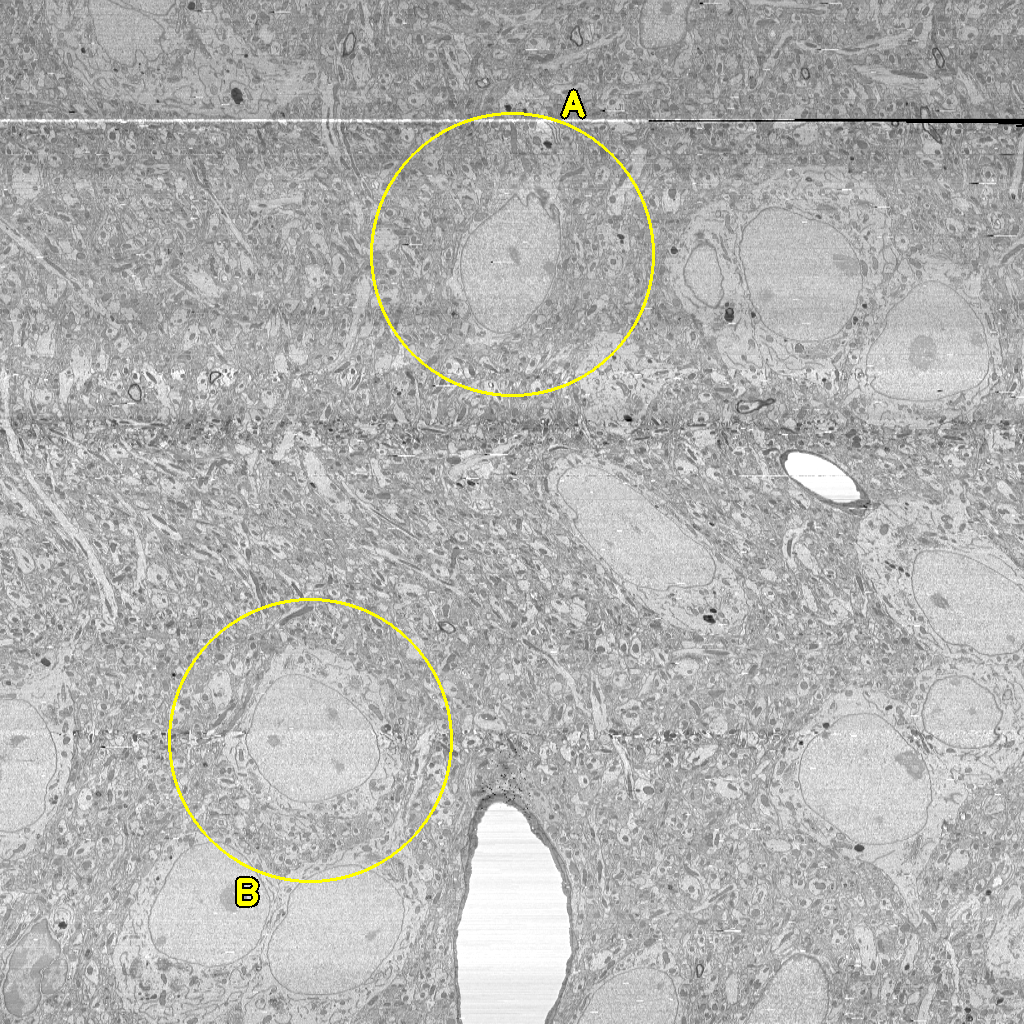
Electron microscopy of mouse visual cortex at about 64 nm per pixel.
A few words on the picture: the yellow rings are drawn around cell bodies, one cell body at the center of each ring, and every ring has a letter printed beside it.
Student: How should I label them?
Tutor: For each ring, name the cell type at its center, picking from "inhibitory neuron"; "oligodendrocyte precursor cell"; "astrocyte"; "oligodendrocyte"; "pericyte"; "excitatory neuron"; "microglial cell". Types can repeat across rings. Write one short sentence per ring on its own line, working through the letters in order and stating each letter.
In ring A, the central cell is an astrocyte.
In ring B, the central cell is an excitatory neuron.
